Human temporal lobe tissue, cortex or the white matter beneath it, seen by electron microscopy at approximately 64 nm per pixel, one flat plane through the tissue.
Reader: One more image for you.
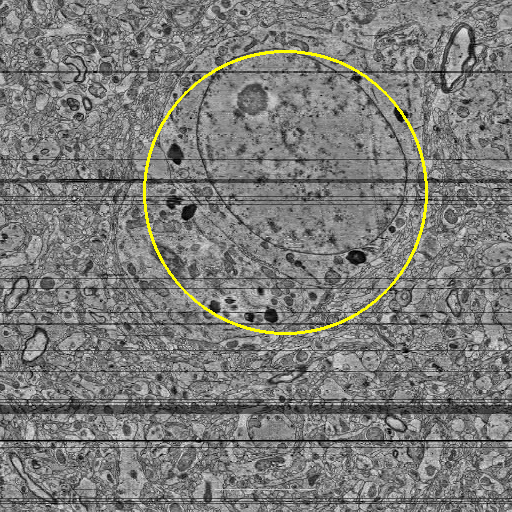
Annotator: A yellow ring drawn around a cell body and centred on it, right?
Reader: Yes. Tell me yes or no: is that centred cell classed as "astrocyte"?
no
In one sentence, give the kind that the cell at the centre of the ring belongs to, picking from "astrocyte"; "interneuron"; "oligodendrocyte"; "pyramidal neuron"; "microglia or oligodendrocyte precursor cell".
At the centre of the ring sits a pyramidal neuron.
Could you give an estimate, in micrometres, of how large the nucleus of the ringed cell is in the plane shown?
The ringed cell's nucleus measures approximately 15 by 12 micrometres in this plane.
